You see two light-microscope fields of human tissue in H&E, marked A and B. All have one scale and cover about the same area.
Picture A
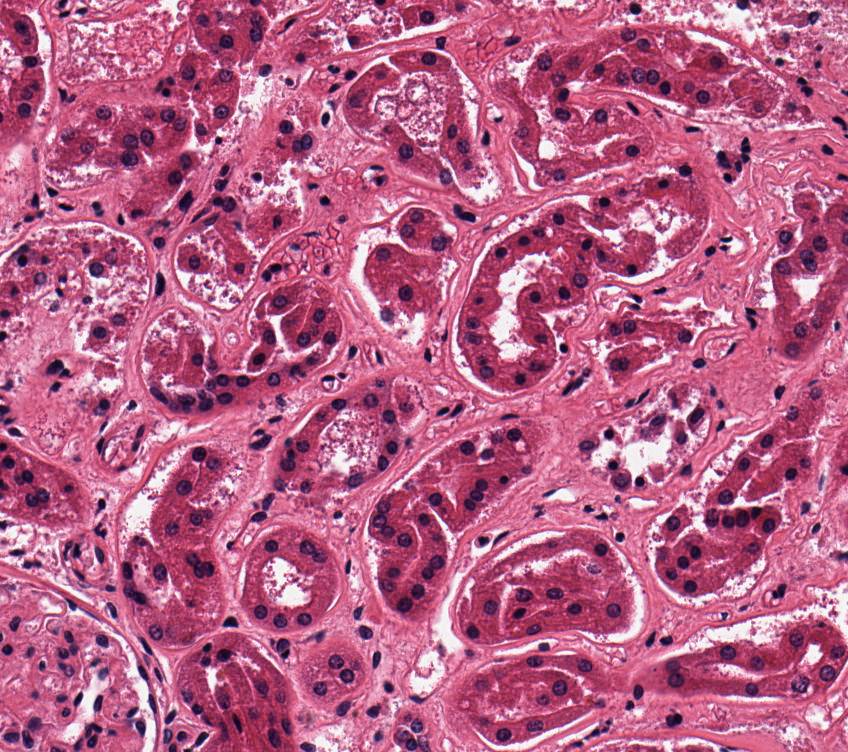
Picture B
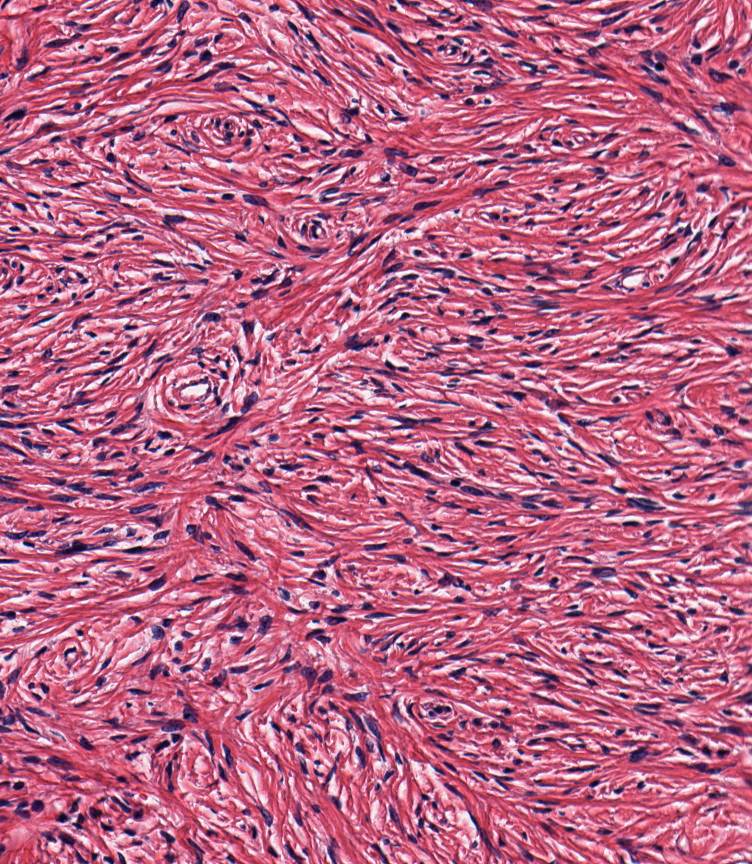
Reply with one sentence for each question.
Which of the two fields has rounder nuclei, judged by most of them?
On the whole the nuclei of picture A are rounder than those of picture B.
